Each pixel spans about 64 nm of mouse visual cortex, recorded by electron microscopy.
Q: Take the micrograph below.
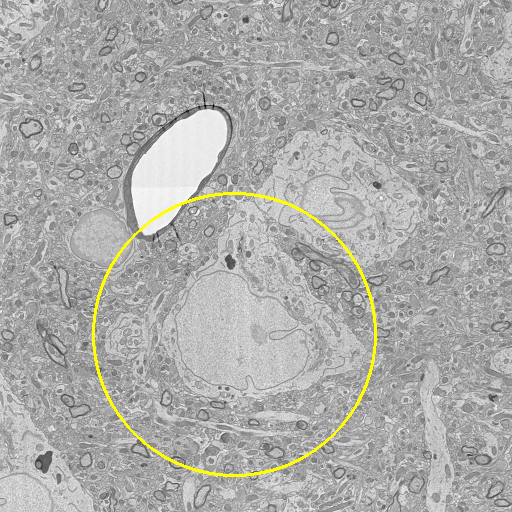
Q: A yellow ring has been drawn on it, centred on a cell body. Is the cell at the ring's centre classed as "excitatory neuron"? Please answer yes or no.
Yes, that is its kind.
